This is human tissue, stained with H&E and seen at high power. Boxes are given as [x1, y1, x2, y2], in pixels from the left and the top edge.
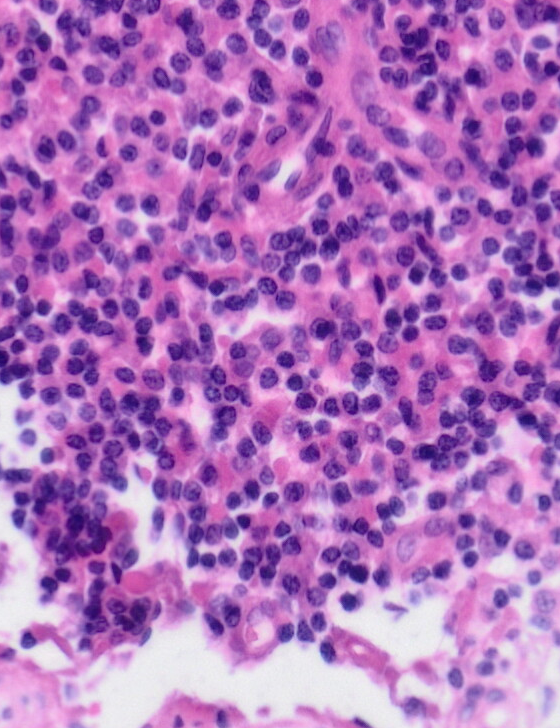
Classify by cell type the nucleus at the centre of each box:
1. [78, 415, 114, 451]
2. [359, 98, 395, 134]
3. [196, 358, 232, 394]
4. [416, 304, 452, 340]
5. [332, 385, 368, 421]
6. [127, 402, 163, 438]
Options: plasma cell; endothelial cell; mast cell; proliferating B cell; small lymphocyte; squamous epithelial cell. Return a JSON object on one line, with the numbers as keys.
{"1": "plasma cell", "2": "endothelial cell", "3": "plasma cell", "4": "plasma cell", "5": "plasma cell", "6": "small lymphocyte"}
